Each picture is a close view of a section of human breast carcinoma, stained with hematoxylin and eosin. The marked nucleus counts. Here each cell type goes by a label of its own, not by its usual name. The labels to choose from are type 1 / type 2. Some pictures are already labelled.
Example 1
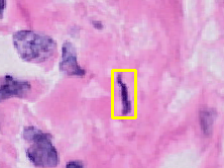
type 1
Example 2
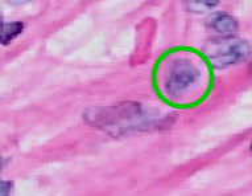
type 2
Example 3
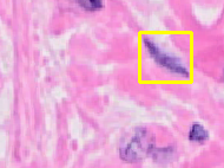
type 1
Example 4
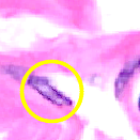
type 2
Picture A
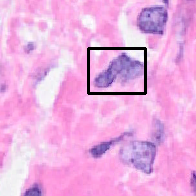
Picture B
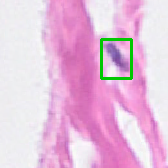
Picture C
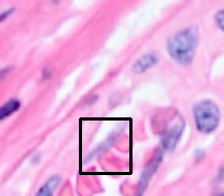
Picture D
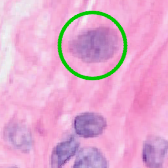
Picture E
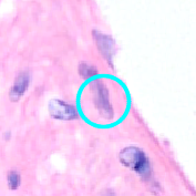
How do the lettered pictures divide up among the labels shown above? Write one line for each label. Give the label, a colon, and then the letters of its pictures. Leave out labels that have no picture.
type 1: A, B, D
type 2: C, E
